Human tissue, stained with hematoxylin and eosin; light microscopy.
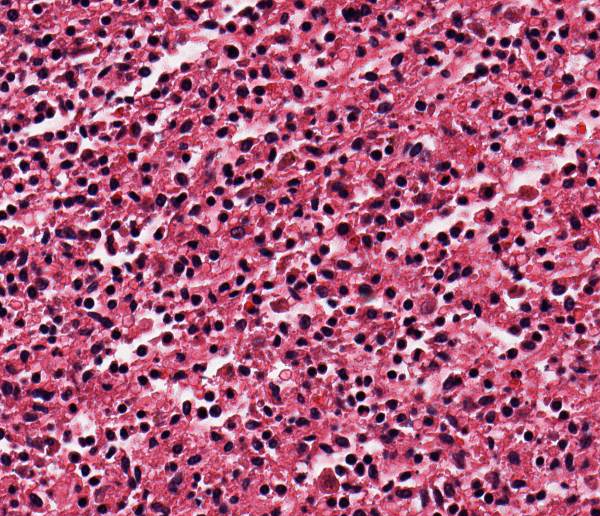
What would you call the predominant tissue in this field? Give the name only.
red pulp of the spleen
